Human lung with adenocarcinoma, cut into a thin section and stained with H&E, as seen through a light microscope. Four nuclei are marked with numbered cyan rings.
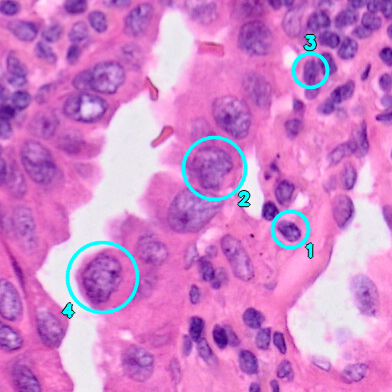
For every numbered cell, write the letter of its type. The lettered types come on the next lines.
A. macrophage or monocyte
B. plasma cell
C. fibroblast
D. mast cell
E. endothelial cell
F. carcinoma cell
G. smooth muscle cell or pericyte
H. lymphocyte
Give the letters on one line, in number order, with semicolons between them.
H; F; H; F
